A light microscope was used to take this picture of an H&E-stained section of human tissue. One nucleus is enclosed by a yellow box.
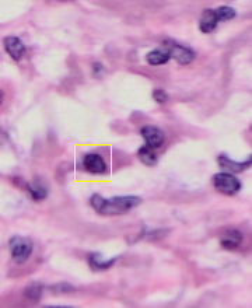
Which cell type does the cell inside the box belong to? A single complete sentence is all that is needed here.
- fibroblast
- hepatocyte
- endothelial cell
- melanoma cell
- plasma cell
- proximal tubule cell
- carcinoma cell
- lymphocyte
In this field of tissue, the cell inside the box is a plasma cell.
